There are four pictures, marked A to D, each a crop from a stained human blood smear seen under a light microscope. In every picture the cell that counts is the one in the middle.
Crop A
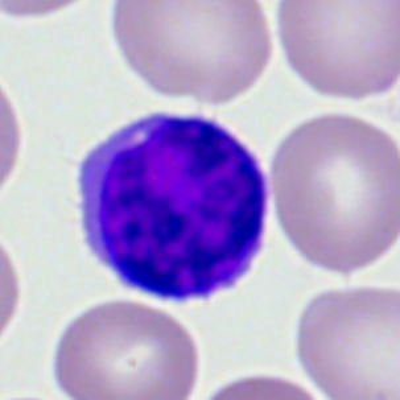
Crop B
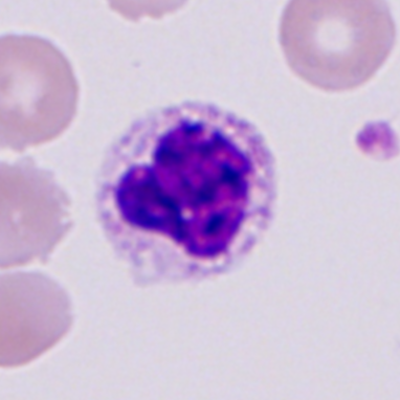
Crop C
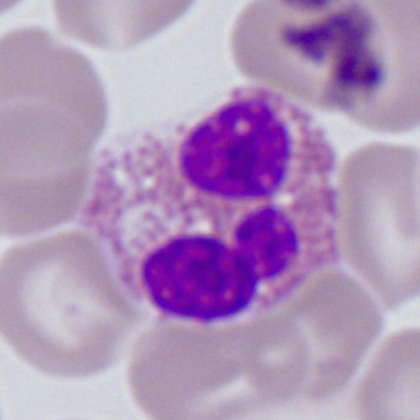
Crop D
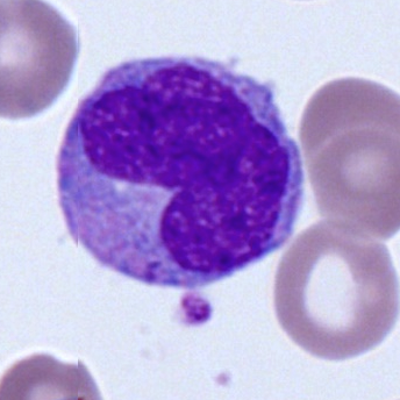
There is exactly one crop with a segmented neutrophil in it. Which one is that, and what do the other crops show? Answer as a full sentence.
The crop marked B contains a segmented neutrophil, while crop A is a lymphocyte, crop C is an eosinophil and crop D is a monocyte.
